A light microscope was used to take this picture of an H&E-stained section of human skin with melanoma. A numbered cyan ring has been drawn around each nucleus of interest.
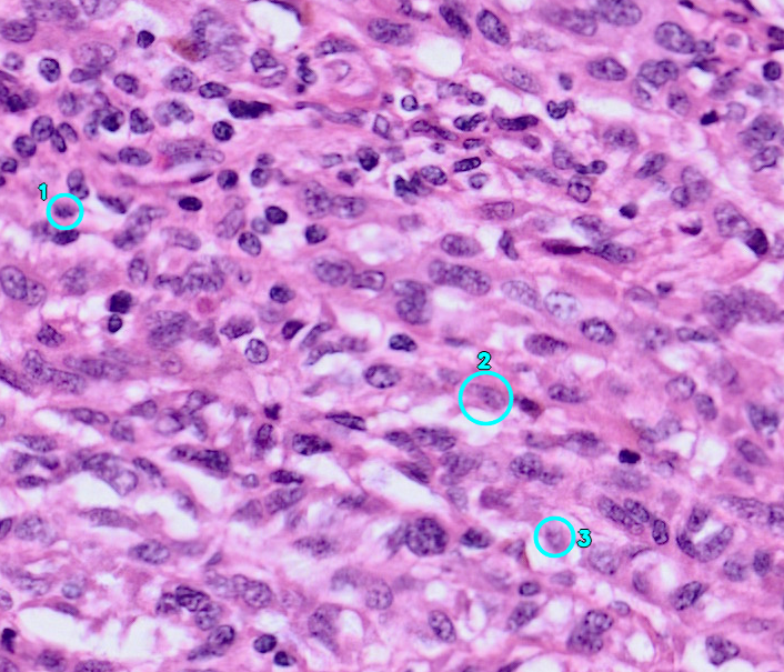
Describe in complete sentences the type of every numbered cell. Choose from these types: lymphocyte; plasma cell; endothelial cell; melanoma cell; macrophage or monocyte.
Cell 1 is a lymphocyte. Cells 2 and 3 are melanoma cells.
